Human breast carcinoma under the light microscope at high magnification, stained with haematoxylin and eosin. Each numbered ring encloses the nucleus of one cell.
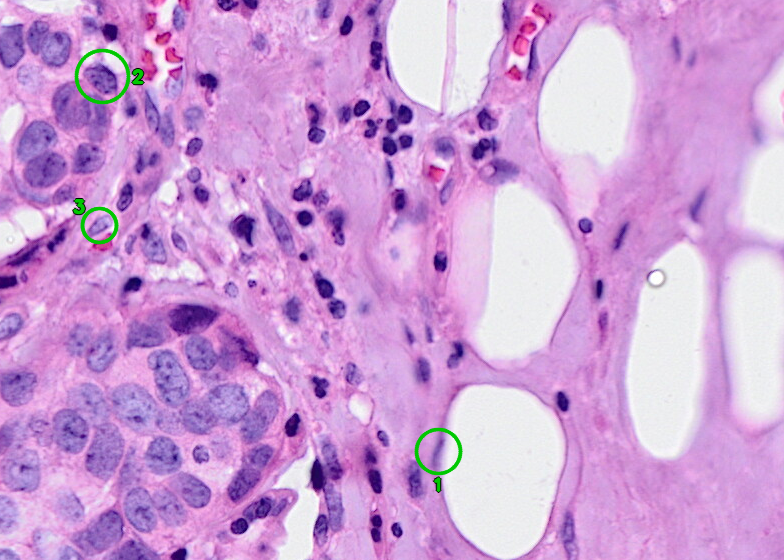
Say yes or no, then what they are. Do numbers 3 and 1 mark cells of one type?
No, that does not hold; cell 3 is an endothelial cell and cell 1 is a fibroblast.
